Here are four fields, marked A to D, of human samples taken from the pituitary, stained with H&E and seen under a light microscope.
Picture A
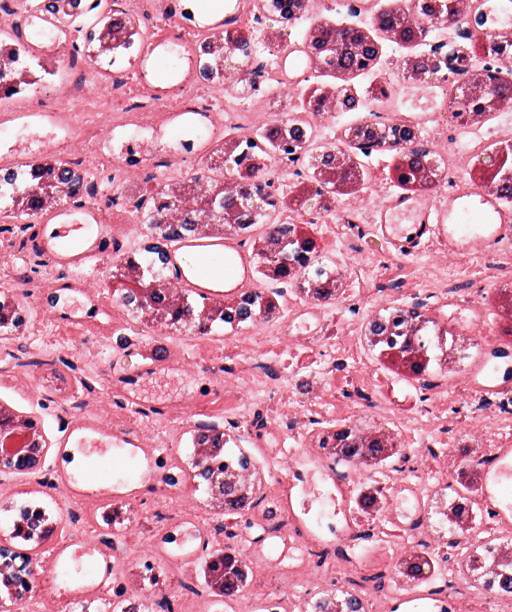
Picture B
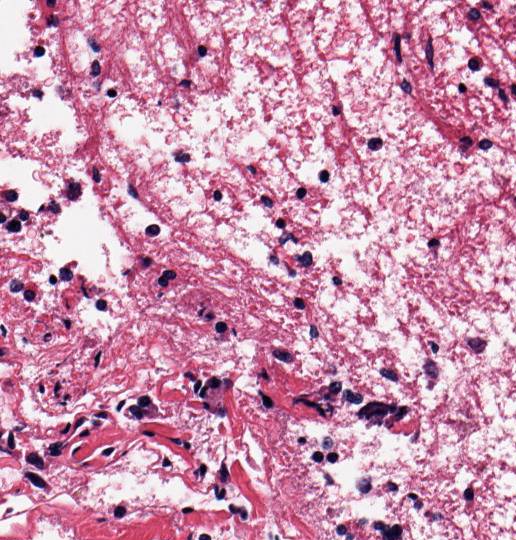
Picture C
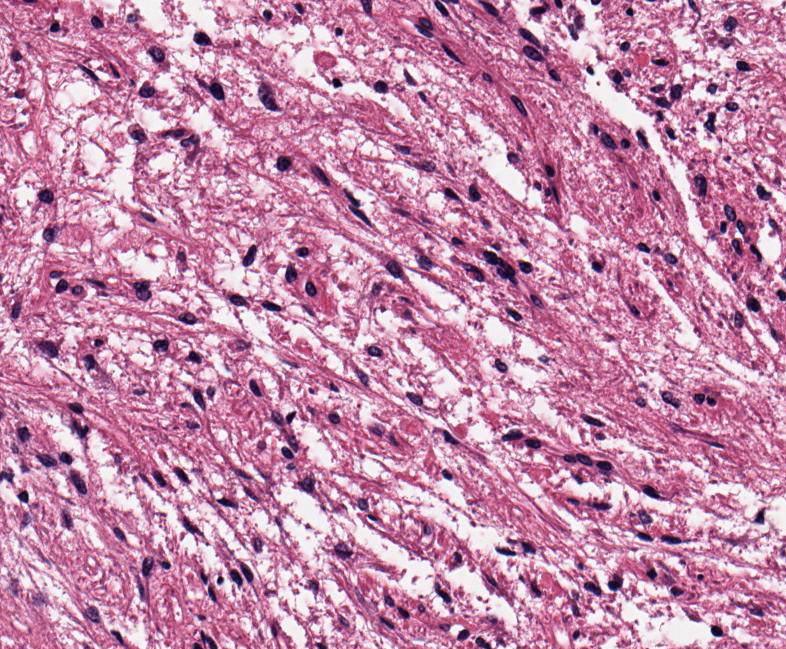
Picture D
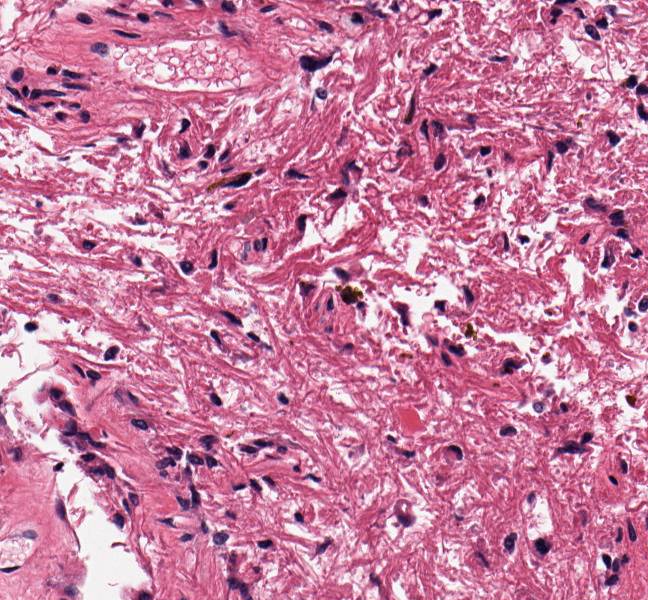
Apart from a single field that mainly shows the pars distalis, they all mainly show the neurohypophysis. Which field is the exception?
A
